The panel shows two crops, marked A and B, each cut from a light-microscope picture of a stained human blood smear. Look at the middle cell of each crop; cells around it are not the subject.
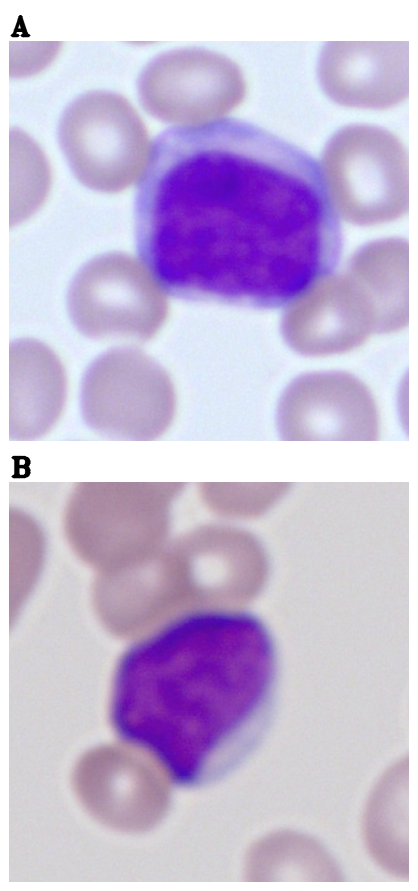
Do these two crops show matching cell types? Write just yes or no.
yes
